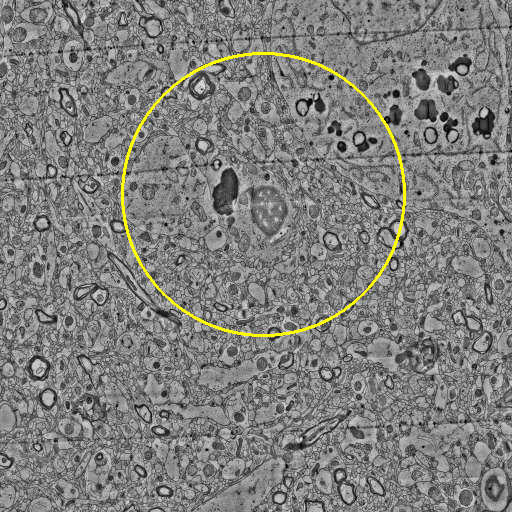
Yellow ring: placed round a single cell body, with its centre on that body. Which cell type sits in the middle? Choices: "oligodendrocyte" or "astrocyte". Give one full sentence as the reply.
It is an oligodendrocyte whose cell body sits at the centre of the yellow ring.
